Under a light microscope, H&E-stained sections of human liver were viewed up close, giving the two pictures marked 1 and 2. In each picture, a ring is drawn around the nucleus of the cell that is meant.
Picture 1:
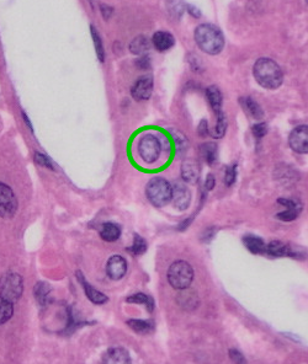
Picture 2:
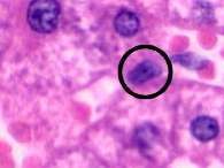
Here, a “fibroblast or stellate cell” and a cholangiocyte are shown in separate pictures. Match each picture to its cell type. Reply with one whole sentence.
The cell in picture 1 is a cholangiocyte, and the one in picture 2 is a “fibroblast or stellate cell”.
